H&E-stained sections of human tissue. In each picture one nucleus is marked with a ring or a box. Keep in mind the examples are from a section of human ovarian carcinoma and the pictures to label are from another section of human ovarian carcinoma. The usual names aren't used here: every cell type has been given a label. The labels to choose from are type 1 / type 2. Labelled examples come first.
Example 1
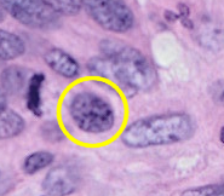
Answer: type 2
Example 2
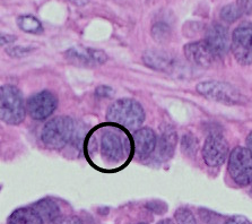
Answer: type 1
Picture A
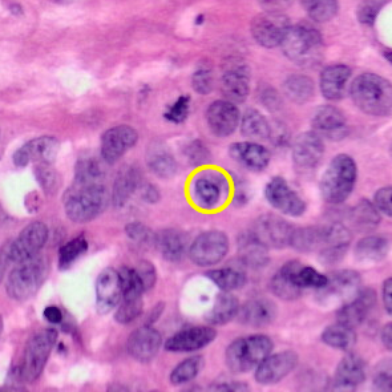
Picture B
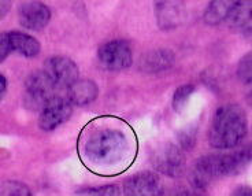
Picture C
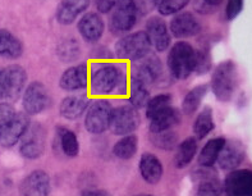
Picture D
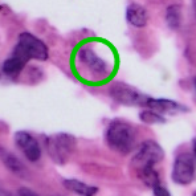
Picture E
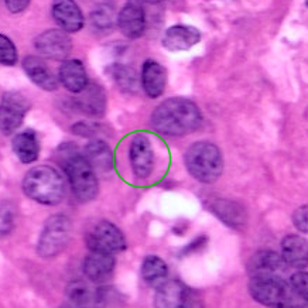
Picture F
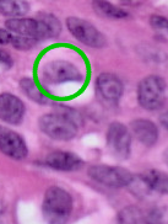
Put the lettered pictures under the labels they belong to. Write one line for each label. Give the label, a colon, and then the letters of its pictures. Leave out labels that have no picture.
type 1: C
type 2: A, B, D, E, F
